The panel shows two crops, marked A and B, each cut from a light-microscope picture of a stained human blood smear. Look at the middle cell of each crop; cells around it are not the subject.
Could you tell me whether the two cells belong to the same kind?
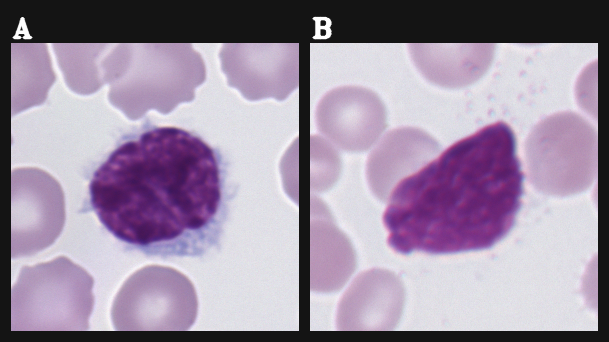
no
